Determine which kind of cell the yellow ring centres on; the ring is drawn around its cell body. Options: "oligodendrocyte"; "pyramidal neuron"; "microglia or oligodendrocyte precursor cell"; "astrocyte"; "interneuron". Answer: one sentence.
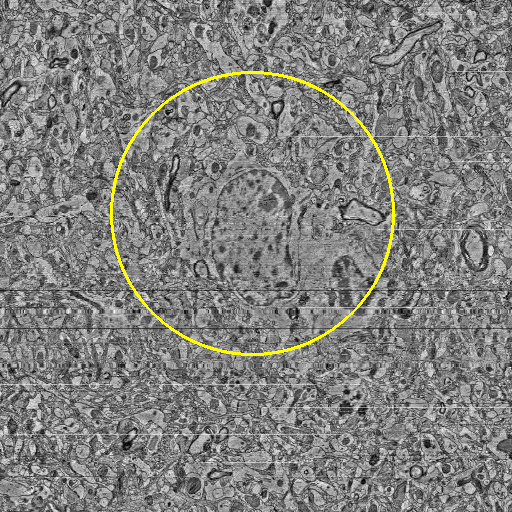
The ring centres on an astrocyte.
